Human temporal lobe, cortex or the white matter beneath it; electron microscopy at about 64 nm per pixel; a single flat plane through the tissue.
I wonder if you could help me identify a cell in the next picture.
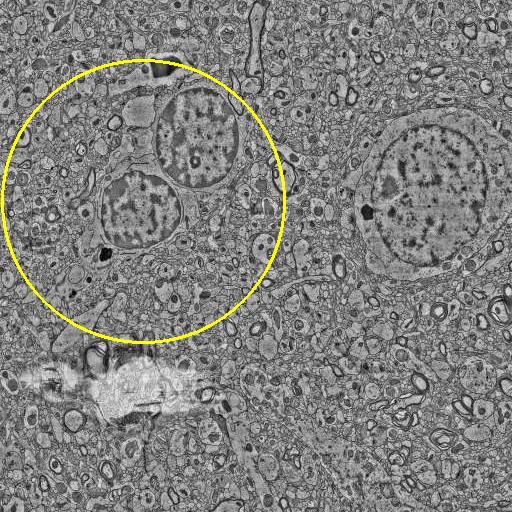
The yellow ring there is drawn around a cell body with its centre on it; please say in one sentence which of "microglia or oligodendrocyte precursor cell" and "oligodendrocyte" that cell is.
The yellow ring is centred on a microglial cell or oligodendrocyte precursor cell.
